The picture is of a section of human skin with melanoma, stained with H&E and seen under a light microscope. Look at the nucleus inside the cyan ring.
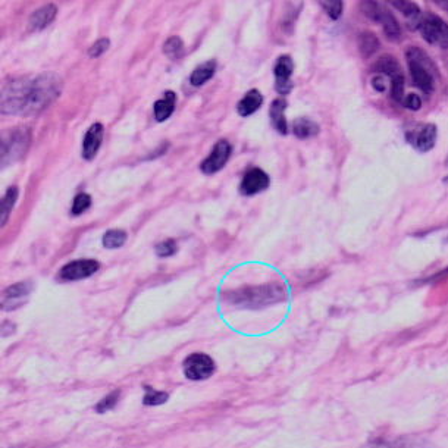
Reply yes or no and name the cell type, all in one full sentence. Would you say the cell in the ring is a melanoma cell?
No, on this slide the cell in the ring is a fibroblast or myofibroblast, not a melanoma cell.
